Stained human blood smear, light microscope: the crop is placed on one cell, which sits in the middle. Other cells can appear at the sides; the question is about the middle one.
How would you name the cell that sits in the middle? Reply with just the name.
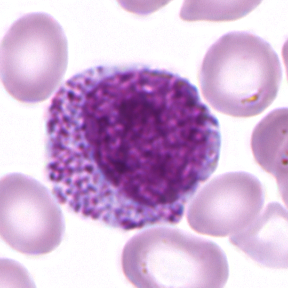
myelocyte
